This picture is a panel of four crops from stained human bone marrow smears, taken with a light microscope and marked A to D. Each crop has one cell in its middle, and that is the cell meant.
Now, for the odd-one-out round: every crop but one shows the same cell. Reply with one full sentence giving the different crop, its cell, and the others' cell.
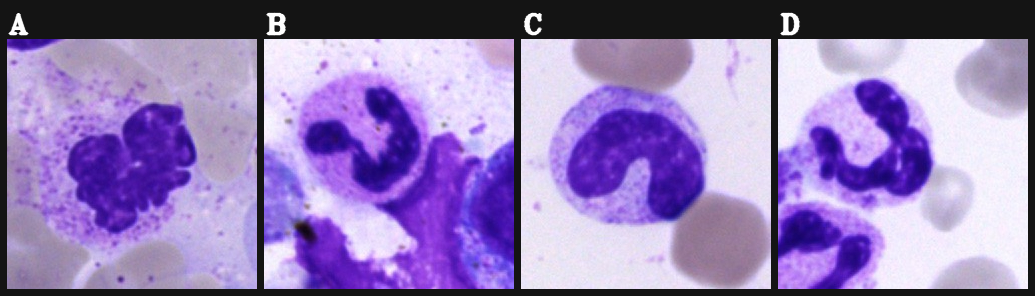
The exception is crop C: it is a band neutrophil, and the others are all segmented neutrophils.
